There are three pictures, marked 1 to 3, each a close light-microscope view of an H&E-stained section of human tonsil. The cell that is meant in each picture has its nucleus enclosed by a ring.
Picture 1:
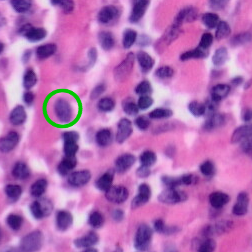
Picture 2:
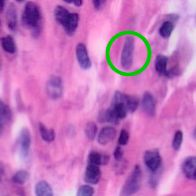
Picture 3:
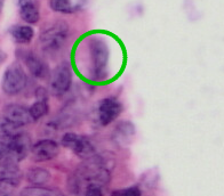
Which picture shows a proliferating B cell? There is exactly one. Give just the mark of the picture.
3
